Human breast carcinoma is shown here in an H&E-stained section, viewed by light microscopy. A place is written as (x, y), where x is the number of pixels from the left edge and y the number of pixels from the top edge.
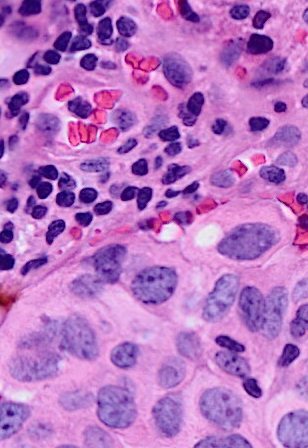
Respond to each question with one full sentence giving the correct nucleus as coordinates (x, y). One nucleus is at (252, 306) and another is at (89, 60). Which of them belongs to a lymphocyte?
Identified as belonging to a lymphocyte is the nucleus at (89, 60).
